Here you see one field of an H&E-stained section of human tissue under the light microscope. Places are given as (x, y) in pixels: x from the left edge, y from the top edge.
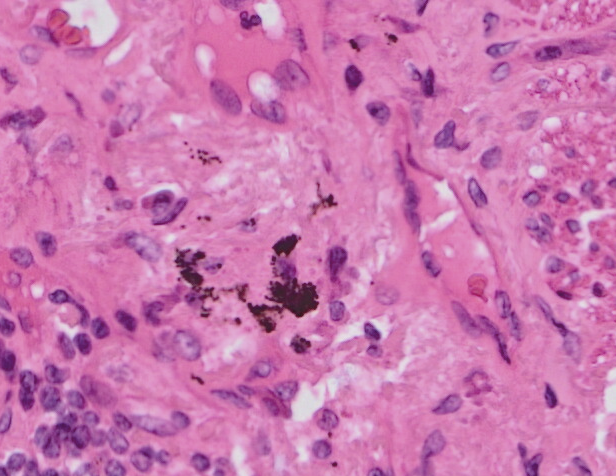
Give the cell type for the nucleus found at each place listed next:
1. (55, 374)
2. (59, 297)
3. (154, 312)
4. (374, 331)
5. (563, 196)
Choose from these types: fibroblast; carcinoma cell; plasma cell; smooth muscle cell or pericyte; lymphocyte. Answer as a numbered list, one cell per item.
1. lymphocyte
2. lymphocyte
3. plasma cell
4. lymphocyte
5. smooth muscle cell or pericyte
